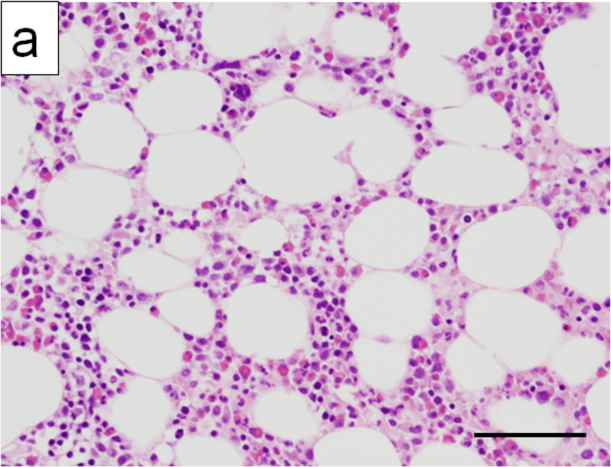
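Bone marrow section with many large, empty, rounded fat spaces separating cords and sheets of hematopoietic cells. The hematopoietic cells are small to medium-sized, with round, dark purple nuclei, and are mixed with cells whose cytoplasm stains pink-red. The cells are packed loosely around the fat spaces without an obvious predominance of any single population. No clearly abnormal cell forms stand out.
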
